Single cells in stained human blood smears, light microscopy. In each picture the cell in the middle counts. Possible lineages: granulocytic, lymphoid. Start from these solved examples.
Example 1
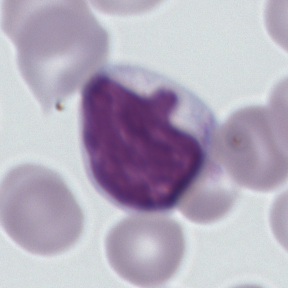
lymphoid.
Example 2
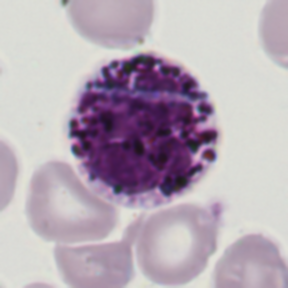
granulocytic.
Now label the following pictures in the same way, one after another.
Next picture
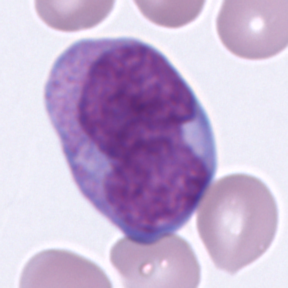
granulocytic.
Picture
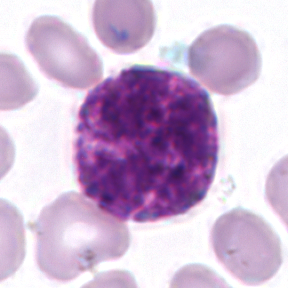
granulocytic.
